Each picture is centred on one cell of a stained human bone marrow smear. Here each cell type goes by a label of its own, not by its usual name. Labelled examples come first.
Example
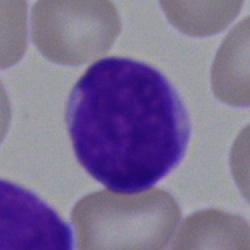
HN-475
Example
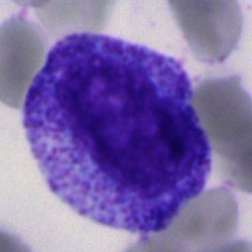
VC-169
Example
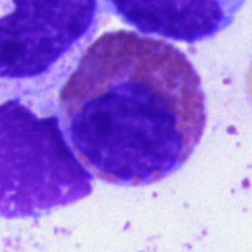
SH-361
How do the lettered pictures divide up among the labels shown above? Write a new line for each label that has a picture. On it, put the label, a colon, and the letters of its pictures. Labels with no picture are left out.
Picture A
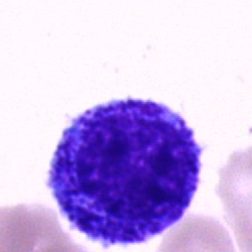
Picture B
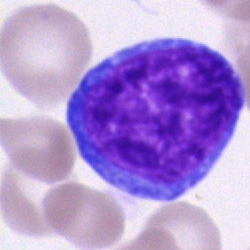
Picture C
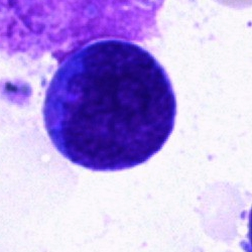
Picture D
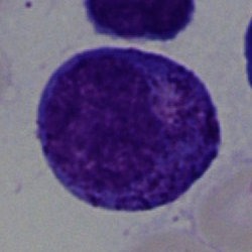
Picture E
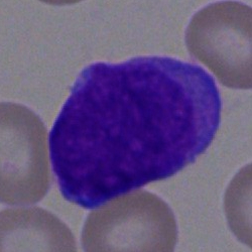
HN-475: B, C, E
VC-169: A, D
